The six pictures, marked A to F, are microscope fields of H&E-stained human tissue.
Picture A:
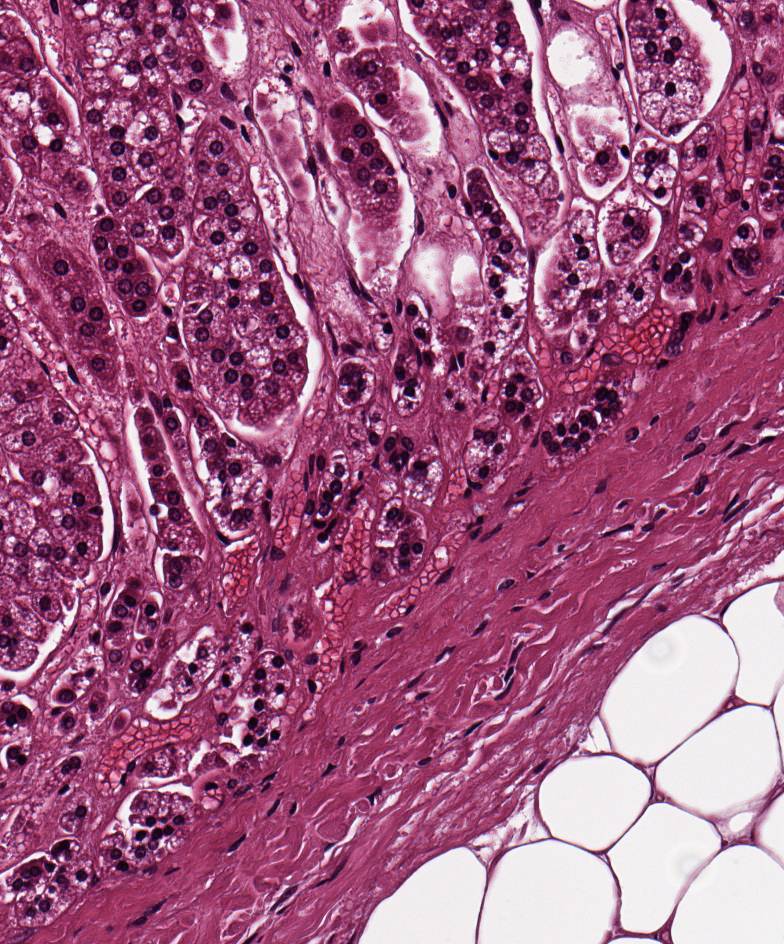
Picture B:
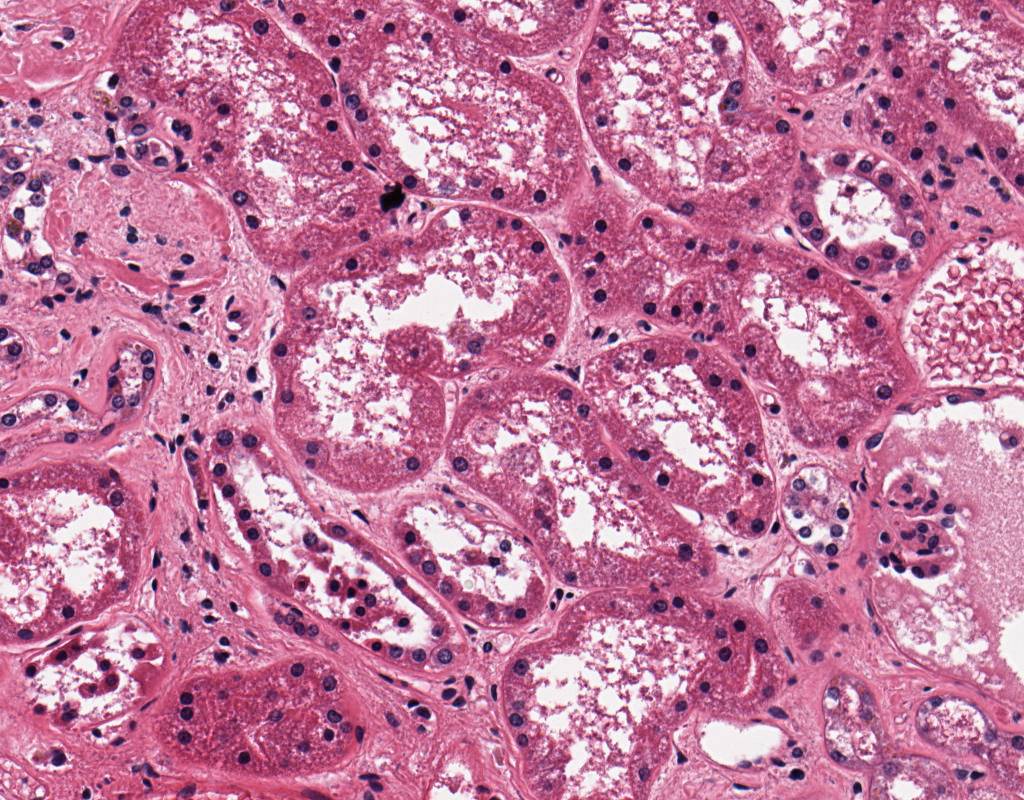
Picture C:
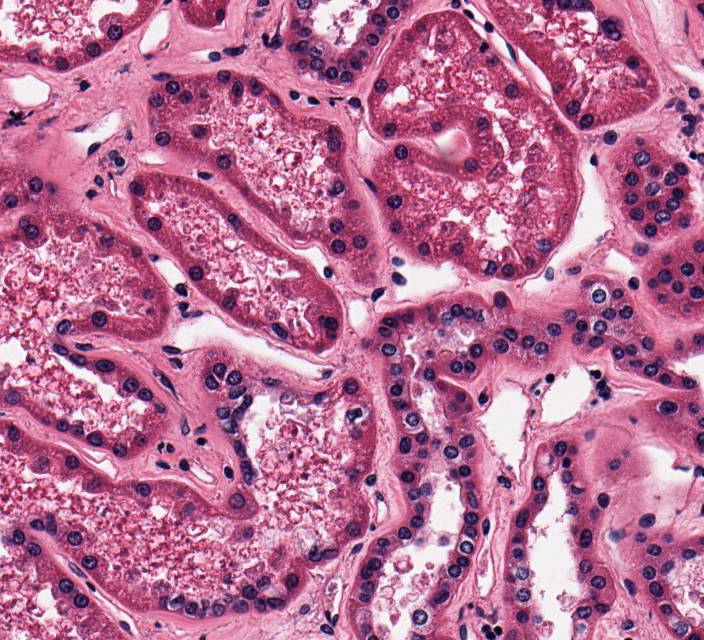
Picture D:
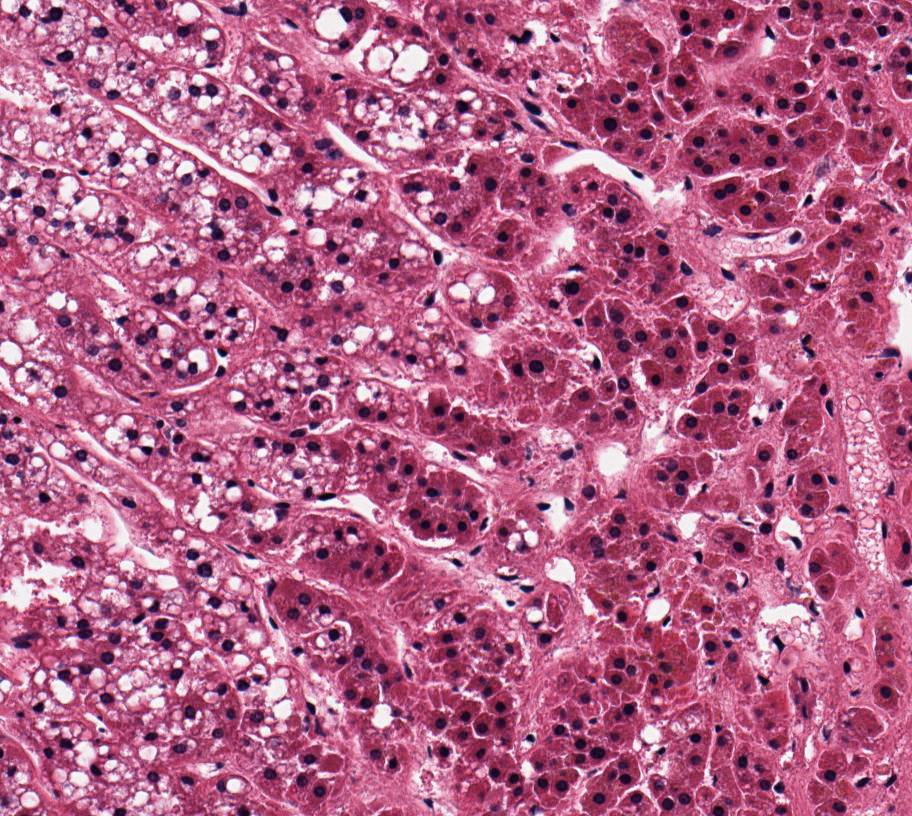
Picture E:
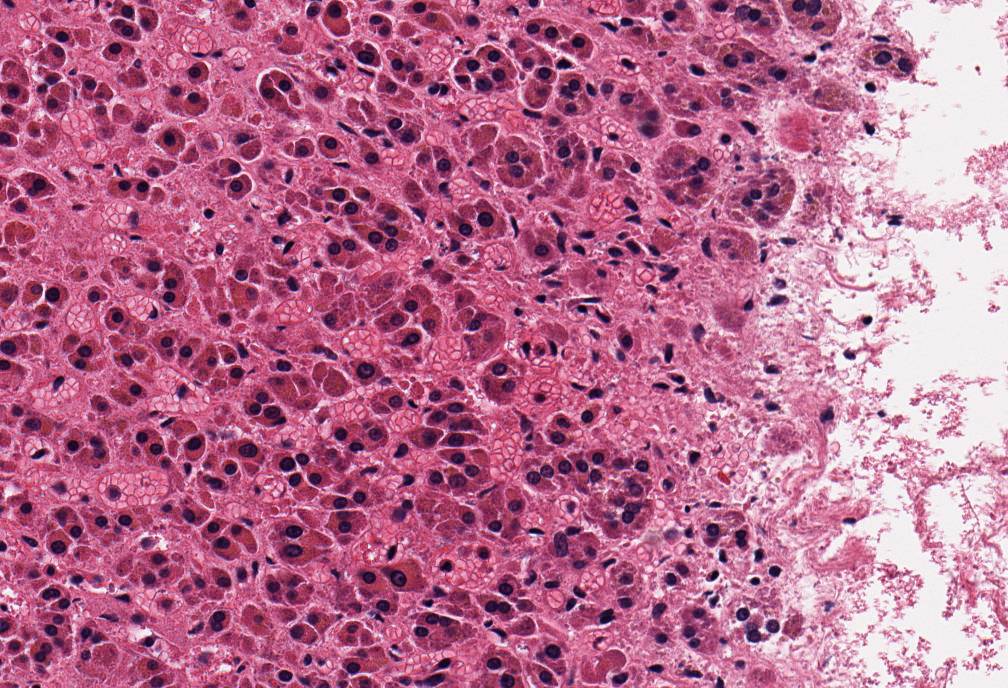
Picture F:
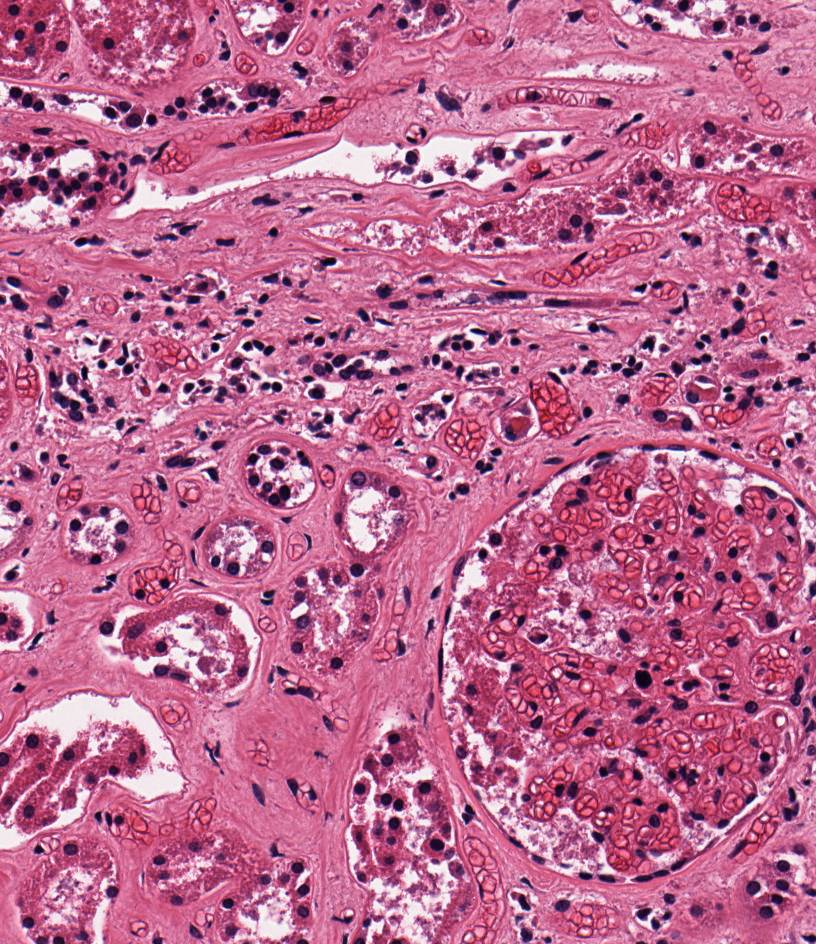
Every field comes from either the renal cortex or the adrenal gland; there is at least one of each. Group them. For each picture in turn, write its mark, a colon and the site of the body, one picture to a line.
A: adrenal gland
B: renal cortex
C: renal cortex
D: adrenal gland
E: adrenal gland
F: renal cortex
